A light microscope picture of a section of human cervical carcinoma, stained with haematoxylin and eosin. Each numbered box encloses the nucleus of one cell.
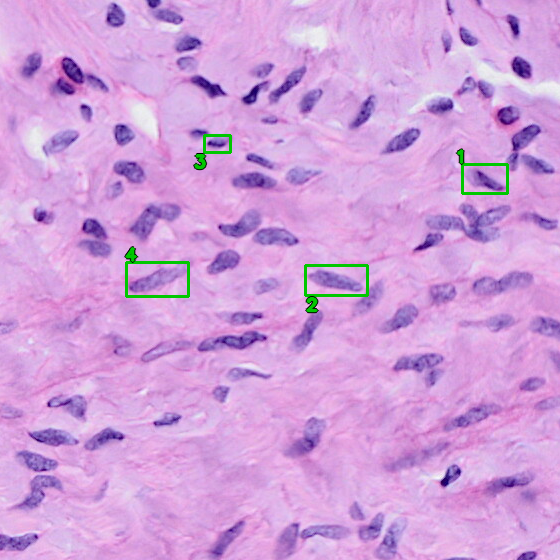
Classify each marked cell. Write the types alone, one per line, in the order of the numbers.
fibroblast
fibroblast
fibroblast
smooth muscle cell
